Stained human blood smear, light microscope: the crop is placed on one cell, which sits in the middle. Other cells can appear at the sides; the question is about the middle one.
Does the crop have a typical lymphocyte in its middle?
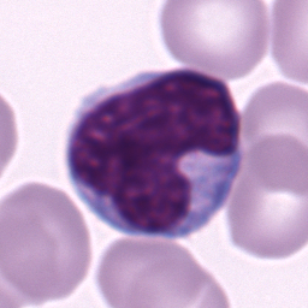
yes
